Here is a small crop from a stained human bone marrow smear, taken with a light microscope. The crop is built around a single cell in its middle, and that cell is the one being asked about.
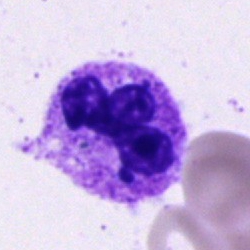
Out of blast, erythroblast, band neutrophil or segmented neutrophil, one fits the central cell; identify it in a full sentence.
The cell the crop is centered on is a segmented neutrophil.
